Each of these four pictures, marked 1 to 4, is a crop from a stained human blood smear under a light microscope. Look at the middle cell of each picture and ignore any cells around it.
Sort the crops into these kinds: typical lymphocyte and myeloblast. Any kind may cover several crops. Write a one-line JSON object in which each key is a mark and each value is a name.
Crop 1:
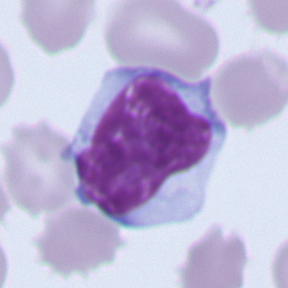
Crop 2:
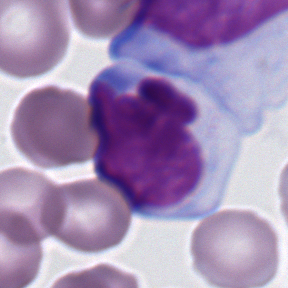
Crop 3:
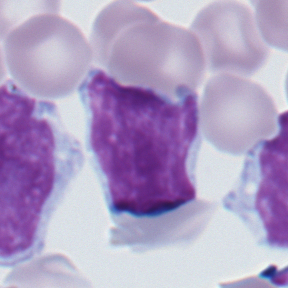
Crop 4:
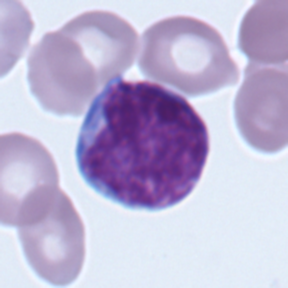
{"1": "typical lymphocyte", "2": "myeloblast", "3": "typical lymphocyte", "4": "myeloblast"}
